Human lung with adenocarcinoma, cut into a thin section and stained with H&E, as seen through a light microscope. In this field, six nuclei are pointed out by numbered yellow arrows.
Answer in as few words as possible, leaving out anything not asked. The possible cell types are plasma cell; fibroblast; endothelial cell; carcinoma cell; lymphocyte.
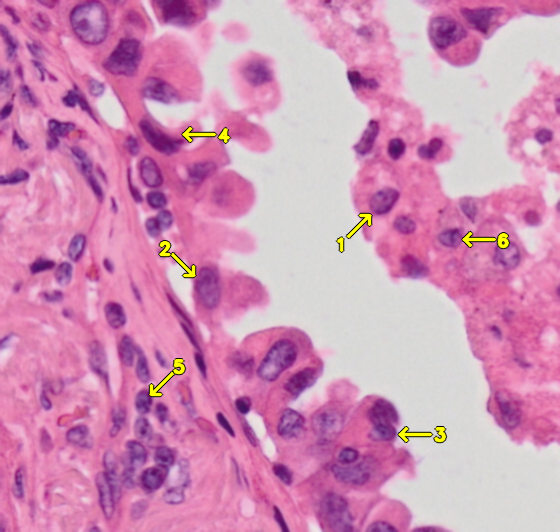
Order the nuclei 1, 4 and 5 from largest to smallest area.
4, 1, 5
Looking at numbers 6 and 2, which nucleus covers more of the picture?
2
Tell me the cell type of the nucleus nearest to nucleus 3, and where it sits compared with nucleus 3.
a carcinoma cell, above nucleus 3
